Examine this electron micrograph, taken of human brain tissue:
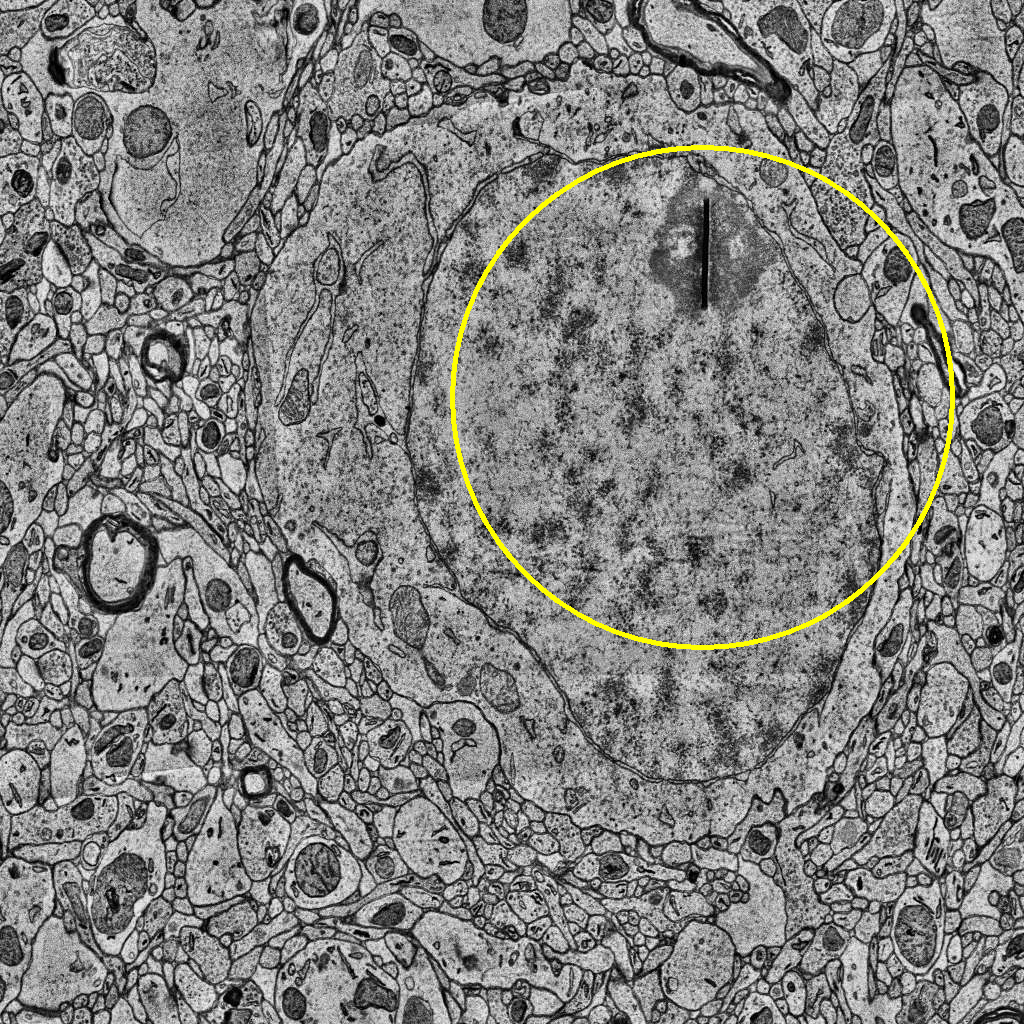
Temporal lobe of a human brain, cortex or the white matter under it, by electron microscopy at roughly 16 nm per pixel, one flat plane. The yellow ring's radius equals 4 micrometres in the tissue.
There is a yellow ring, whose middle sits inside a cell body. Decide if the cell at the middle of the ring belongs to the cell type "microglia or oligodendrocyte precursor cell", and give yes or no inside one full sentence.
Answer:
No, the cell at the centre of the yellow ring in this picture is of a different type.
